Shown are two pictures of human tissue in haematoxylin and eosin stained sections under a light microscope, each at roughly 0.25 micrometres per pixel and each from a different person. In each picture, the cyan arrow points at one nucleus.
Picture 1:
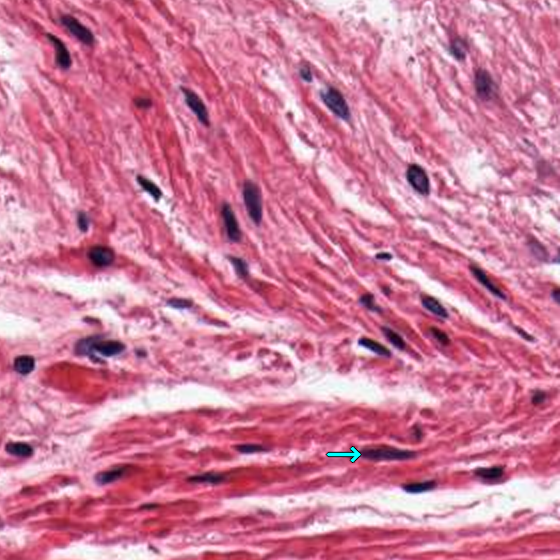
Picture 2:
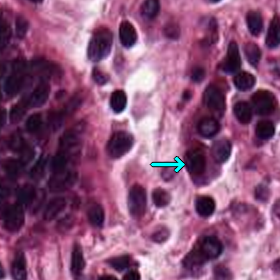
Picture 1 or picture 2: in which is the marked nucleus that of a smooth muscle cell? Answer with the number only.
1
